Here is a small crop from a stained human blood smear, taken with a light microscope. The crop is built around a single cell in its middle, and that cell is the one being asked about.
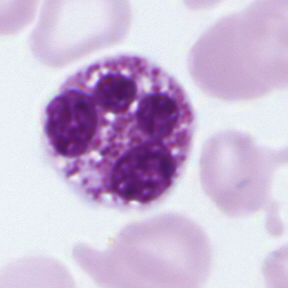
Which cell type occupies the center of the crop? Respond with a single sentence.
At the middle of the frame sits an eosinophil.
